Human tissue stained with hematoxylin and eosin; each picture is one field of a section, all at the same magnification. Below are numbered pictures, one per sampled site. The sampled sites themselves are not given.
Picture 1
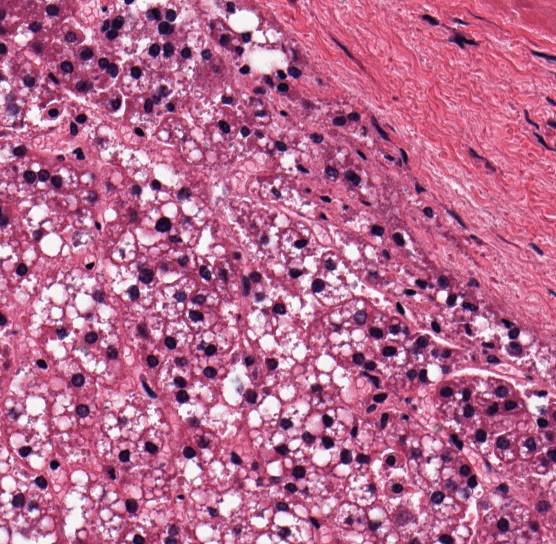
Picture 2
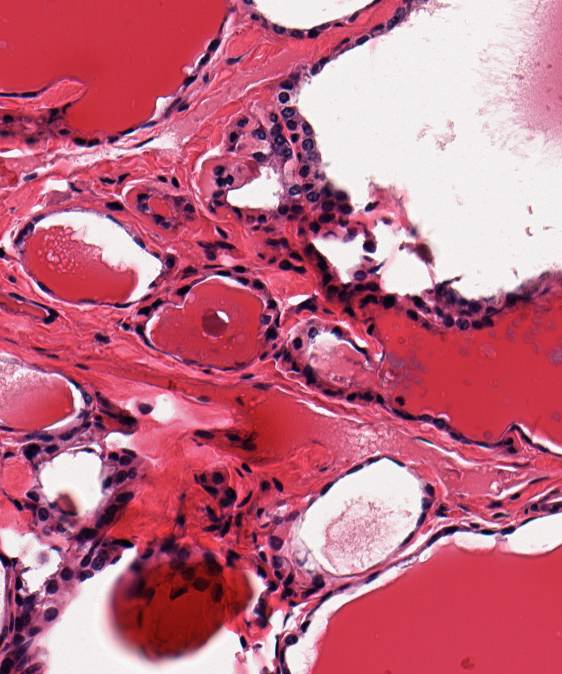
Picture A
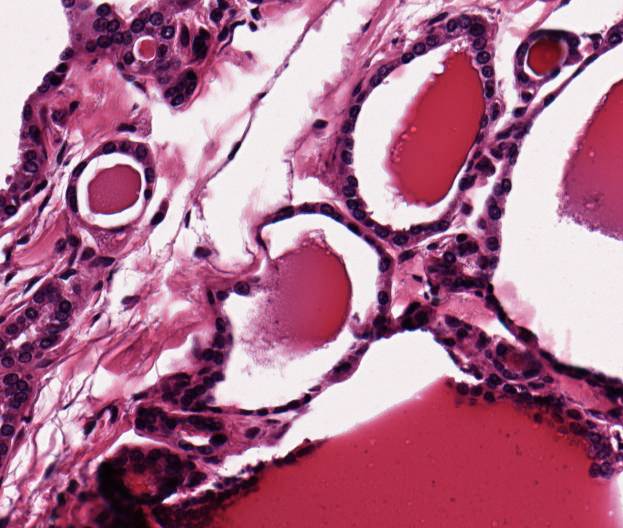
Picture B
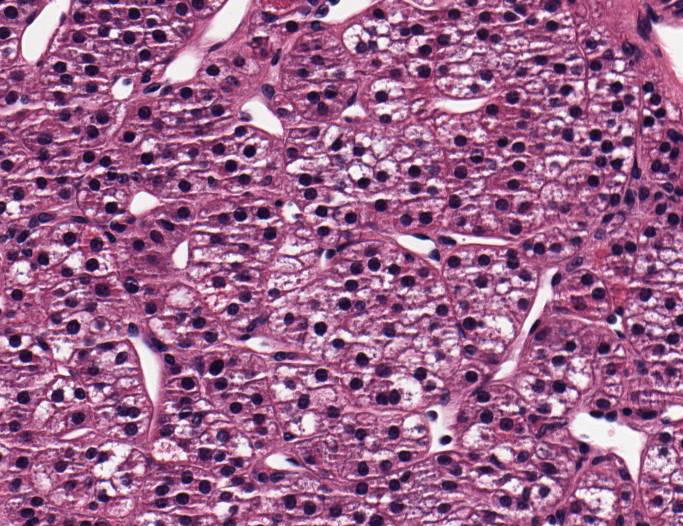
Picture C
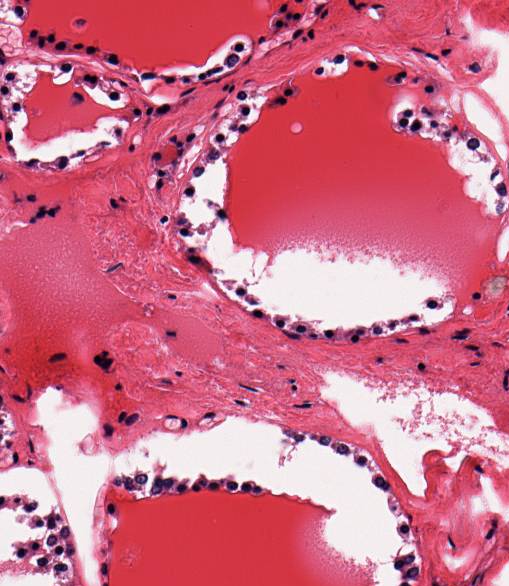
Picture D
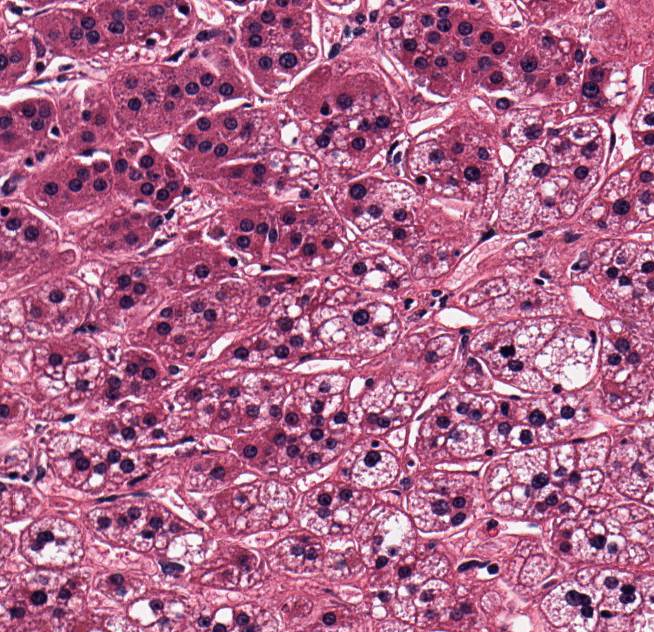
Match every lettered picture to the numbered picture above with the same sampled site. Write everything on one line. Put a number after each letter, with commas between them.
A 2, B 1, C 2, D 1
